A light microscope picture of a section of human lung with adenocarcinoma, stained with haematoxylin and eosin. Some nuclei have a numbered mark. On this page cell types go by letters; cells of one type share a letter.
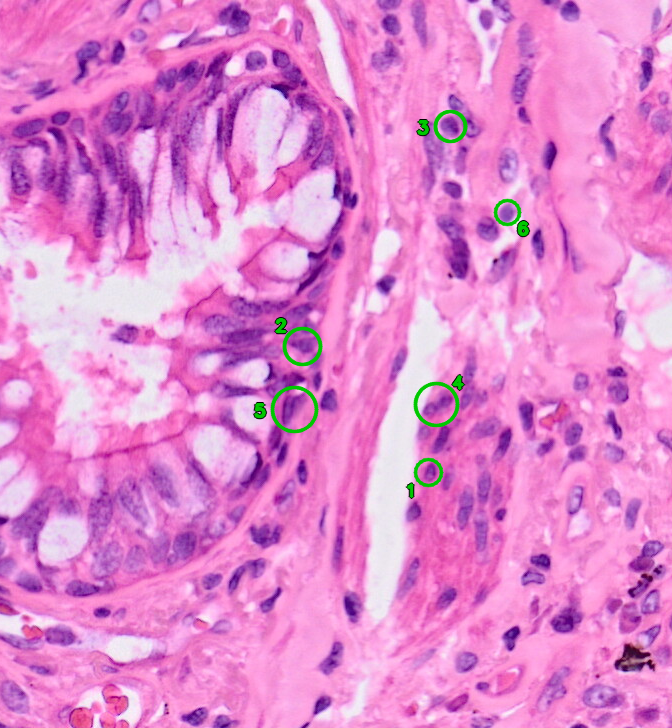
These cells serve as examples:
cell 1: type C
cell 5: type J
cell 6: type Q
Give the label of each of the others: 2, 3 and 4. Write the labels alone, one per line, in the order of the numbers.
type J
type Q
type C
